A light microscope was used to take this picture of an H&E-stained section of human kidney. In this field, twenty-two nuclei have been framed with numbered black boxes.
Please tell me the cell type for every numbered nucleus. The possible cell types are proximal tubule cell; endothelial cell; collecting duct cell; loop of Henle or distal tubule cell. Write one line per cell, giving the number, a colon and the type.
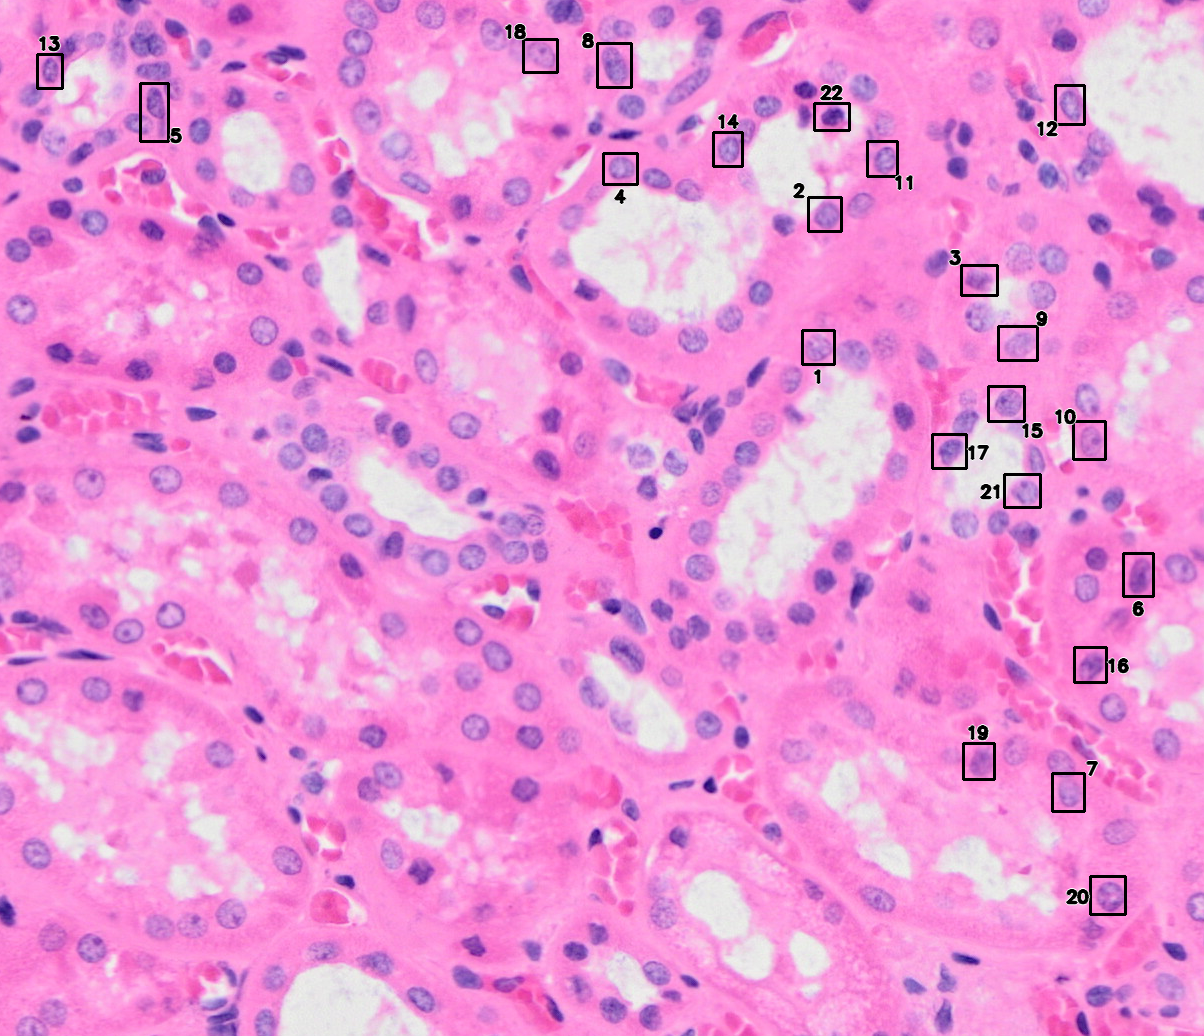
1: loop of Henle or distal tubule cell
2: loop of Henle or distal tubule cell
3: loop of Henle or distal tubule cell
4: loop of Henle or distal tubule cell
5: collecting duct cell
6: proximal tubule cell
7: proximal tubule cell
8: collecting duct cell
9: loop of Henle or distal tubule cell
10: proximal tubule cell
11: loop of Henle or distal tubule cell
12: loop of Henle or distal tubule cell
13: collecting duct cell
14: loop of Henle or distal tubule cell
15: loop of Henle or distal tubule cell
16: proximal tubule cell
17: loop of Henle or distal tubule cell
18: proximal tubule cell
19: proximal tubule cell
20: proximal tubule cell
21: loop of Henle or distal tubule cell
22: loop of Henle or distal tubule cell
